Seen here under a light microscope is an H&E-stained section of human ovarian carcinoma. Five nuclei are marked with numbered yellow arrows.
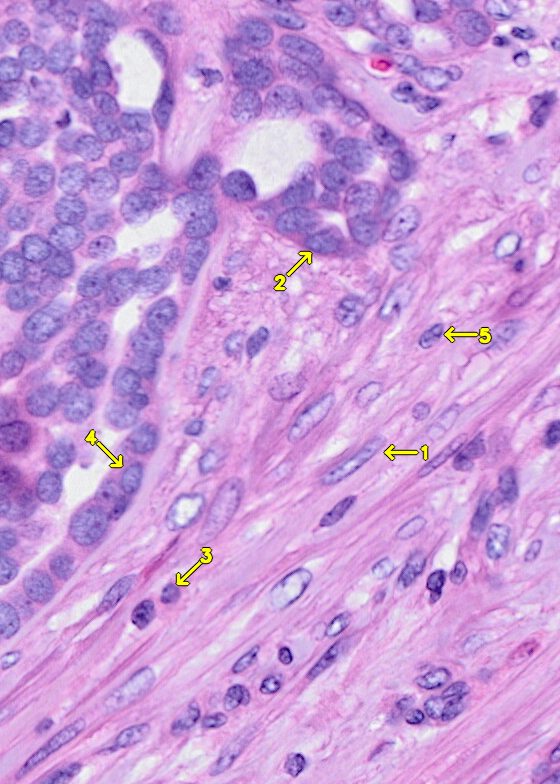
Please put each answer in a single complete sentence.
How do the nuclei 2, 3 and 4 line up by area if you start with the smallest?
From smallest to largest, the order is 3, 4, 2.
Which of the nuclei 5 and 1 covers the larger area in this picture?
At about 1.5 times the area of nucleus 5, nucleus 1 is the larger of the two.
